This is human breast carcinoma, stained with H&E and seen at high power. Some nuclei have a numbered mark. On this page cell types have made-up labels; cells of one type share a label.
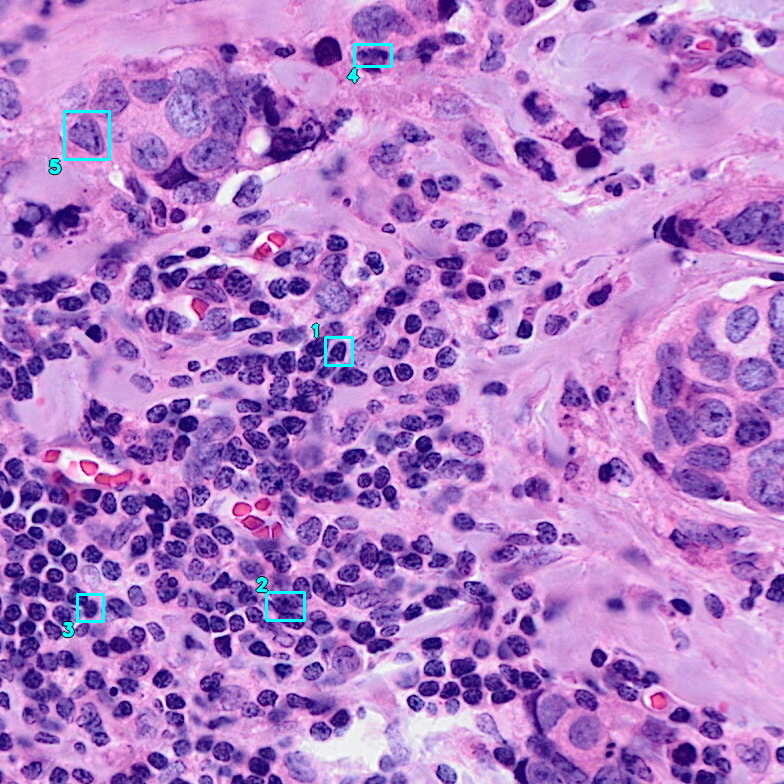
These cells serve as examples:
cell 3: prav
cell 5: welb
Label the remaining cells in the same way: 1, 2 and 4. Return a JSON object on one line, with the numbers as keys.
{"1": "prav", "2": "prav", "4": "welb"}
